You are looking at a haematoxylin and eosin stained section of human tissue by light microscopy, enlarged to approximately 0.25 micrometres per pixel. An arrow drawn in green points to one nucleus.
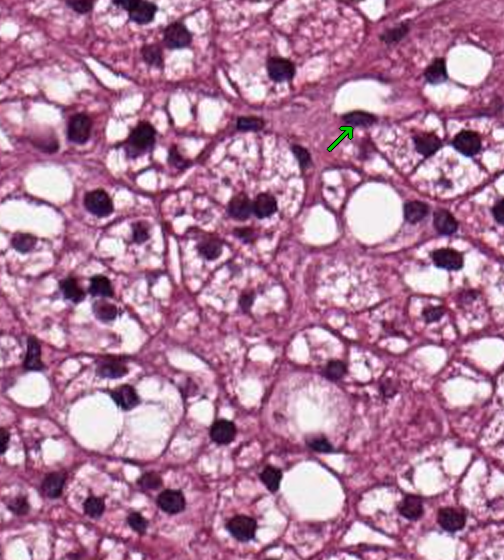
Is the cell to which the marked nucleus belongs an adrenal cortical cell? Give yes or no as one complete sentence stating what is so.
No, the marked nucleus belongs to a supporting cell, and an adrenal cortical cell is not its owner.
